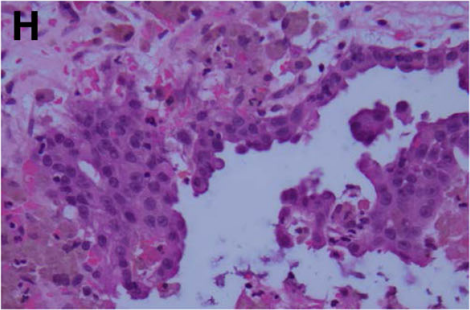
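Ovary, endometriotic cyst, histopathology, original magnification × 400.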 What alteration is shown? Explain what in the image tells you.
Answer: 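Epithelial nuclei are piled in several layers rather than one row. The nuclei are enlarged and crowded. The answer: cellular stratification.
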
